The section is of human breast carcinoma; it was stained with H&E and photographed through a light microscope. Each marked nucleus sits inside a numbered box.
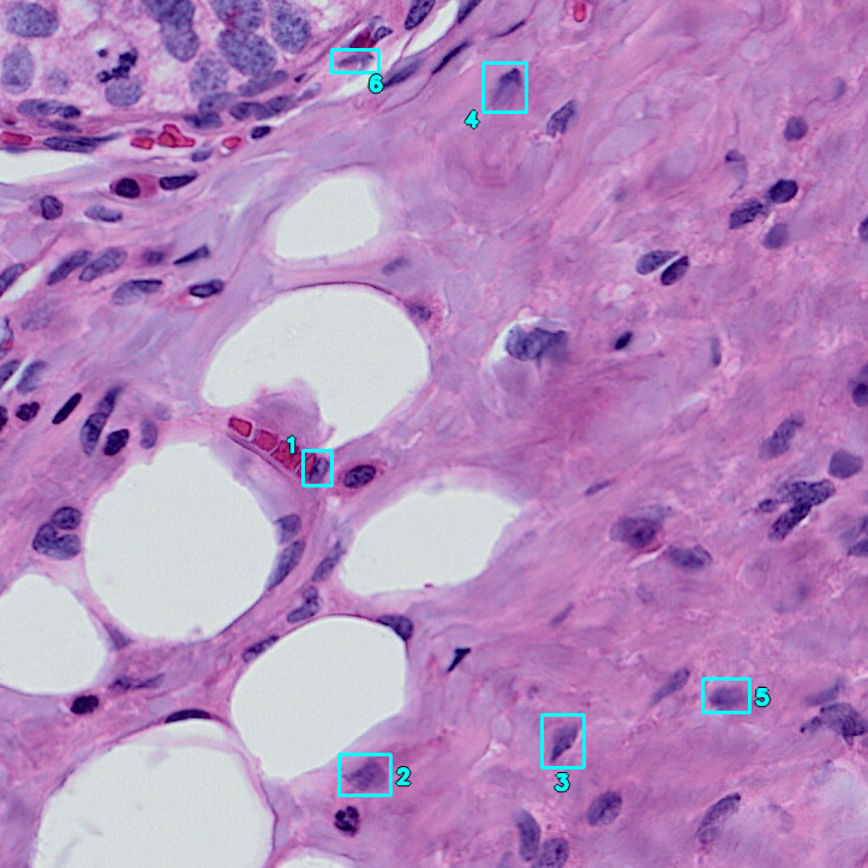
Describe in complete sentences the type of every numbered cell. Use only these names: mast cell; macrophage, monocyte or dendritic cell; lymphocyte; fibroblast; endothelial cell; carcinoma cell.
Cells 1 and 6 are endothelial cells. Cells 2, 3, 4 and 5 are fibroblasts.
